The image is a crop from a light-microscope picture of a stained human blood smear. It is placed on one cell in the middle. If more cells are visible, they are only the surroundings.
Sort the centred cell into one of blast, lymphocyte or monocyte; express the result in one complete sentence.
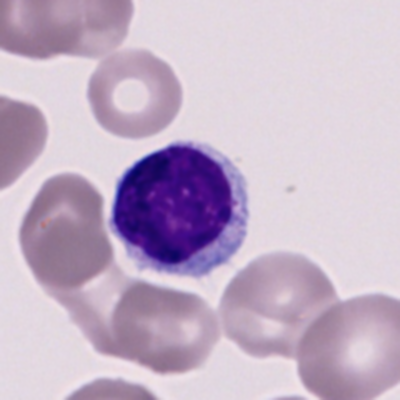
At the center of the crop sits a lymphocyte.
